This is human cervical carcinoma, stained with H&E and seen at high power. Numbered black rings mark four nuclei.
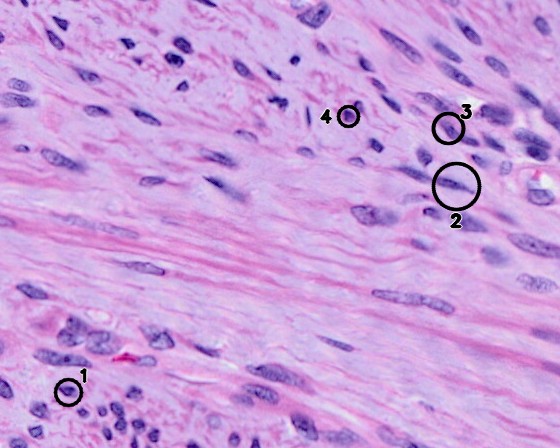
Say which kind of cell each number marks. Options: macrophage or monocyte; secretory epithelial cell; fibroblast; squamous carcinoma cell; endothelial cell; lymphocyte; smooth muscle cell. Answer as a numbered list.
1. smooth muscle cell
2. fibroblast
3. smooth muscle cell
4. smooth muscle cell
